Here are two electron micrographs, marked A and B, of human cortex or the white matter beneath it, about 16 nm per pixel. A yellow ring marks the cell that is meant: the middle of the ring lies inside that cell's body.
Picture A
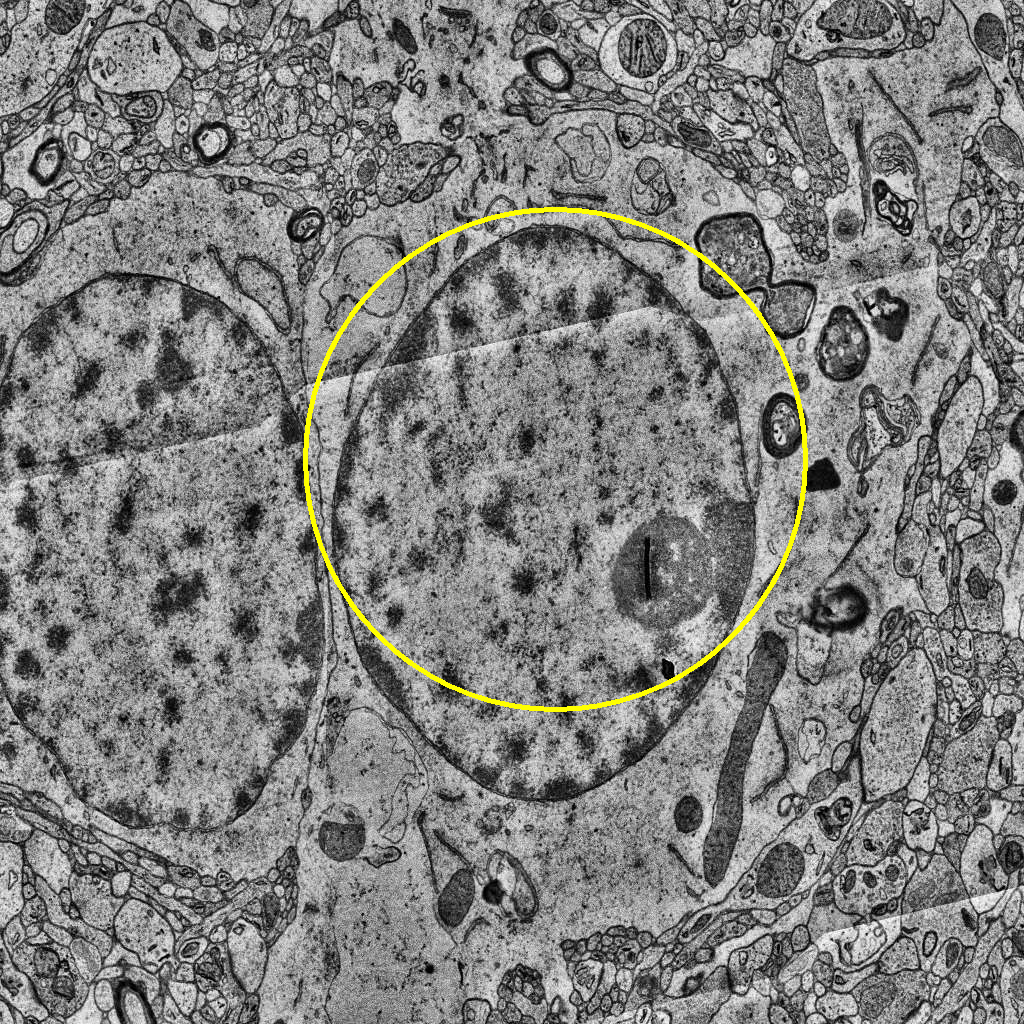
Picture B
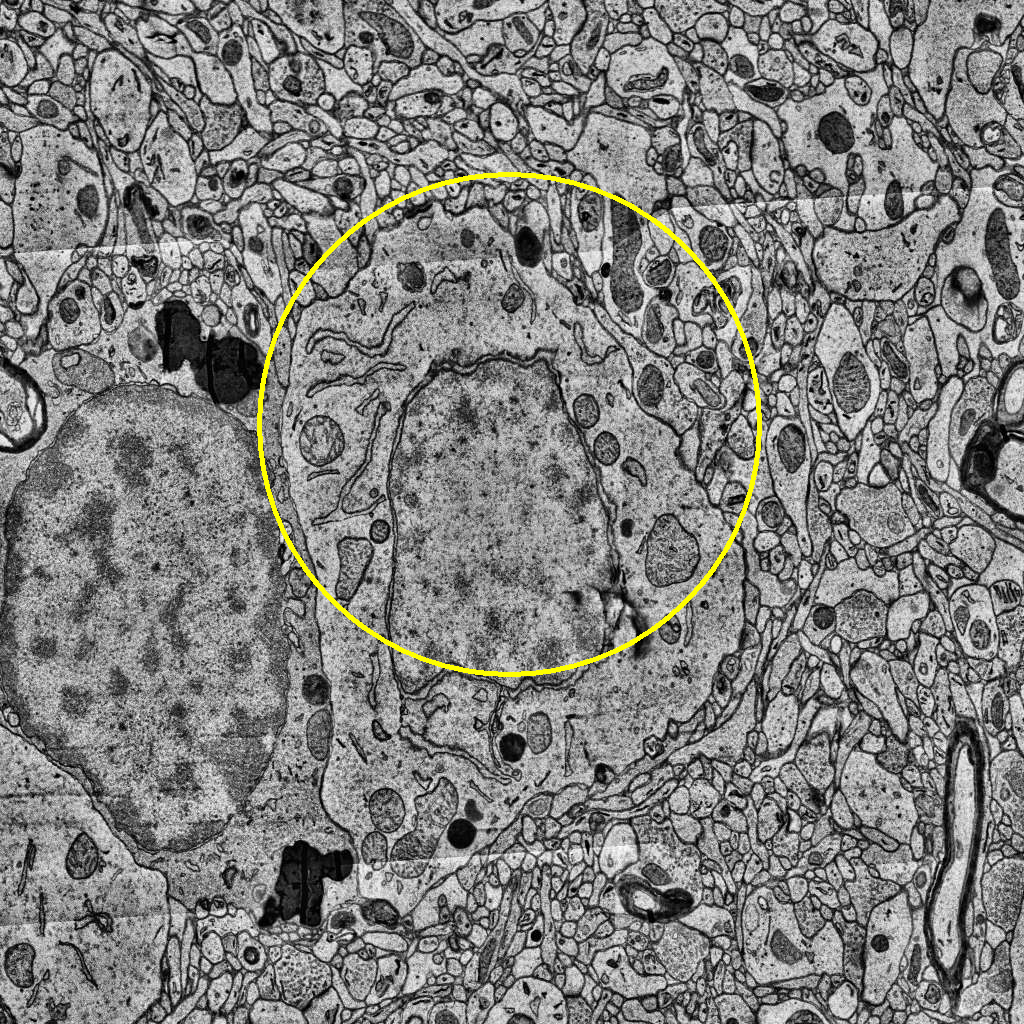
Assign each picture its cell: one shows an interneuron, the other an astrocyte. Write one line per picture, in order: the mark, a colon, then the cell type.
A: astrocyte
B: interneuron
